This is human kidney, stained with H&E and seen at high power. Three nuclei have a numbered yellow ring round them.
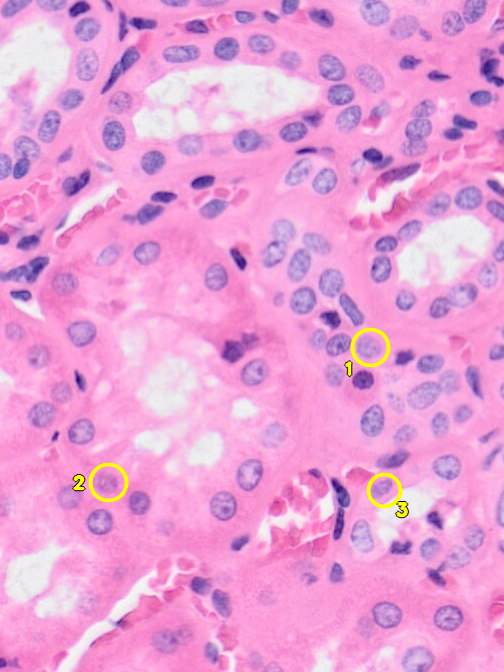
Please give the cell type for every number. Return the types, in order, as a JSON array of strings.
["collecting duct cell", "proximal tubule cell", "collecting duct cell"]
